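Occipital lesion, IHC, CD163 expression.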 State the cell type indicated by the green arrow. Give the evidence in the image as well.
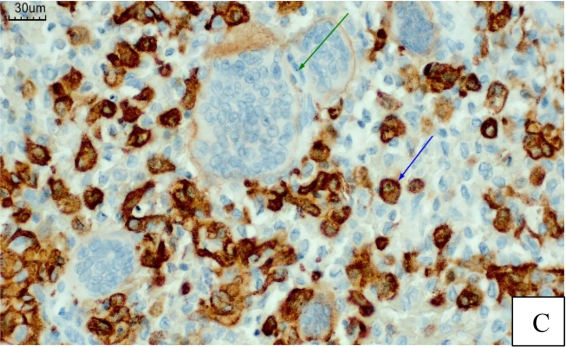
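The arrowed cell is large and round with many clustered blue nuclei. It lacks the brown stain seen in the smaller cells around it.
Osteoclast‐type multinucleated cells.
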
